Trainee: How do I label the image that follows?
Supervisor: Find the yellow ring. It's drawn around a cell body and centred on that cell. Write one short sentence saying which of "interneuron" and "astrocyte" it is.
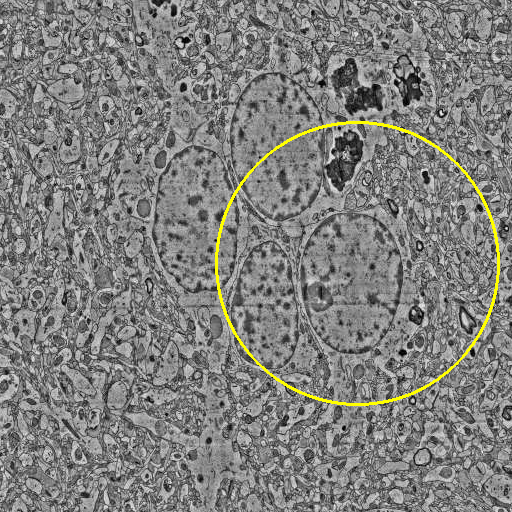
This is the cell body of an astrocyte.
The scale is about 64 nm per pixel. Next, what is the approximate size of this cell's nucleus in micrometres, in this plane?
Approximately 9 x 7 micrometres in this plane.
